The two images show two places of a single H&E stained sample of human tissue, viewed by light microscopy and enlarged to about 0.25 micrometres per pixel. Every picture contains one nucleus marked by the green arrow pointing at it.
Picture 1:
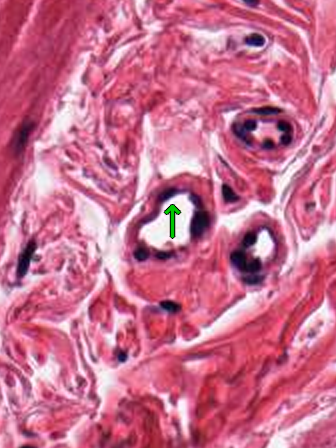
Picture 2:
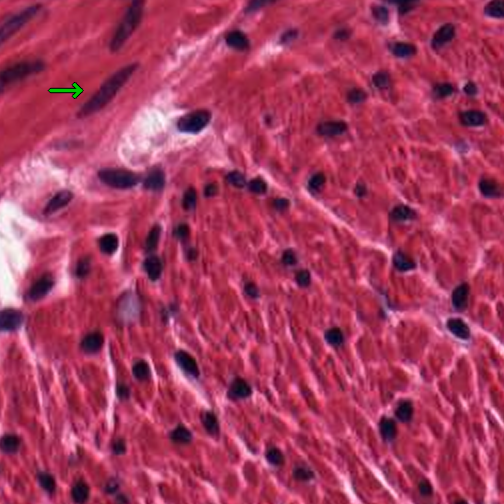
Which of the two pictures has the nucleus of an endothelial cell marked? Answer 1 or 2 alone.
1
